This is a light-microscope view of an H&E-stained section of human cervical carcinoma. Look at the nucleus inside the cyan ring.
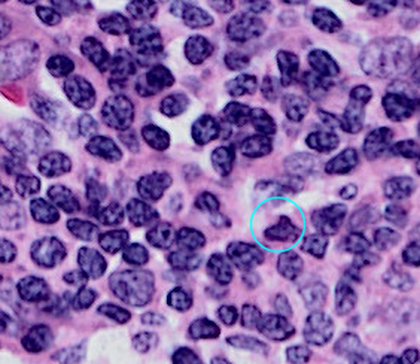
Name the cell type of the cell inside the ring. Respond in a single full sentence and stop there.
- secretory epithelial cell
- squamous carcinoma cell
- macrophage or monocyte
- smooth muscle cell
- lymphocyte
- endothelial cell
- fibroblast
In the tissue under study, the cell inside the ring is a lymphocyte.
